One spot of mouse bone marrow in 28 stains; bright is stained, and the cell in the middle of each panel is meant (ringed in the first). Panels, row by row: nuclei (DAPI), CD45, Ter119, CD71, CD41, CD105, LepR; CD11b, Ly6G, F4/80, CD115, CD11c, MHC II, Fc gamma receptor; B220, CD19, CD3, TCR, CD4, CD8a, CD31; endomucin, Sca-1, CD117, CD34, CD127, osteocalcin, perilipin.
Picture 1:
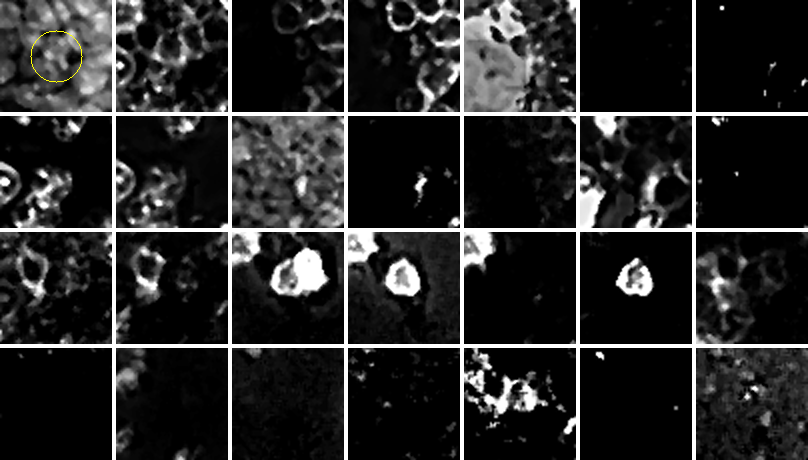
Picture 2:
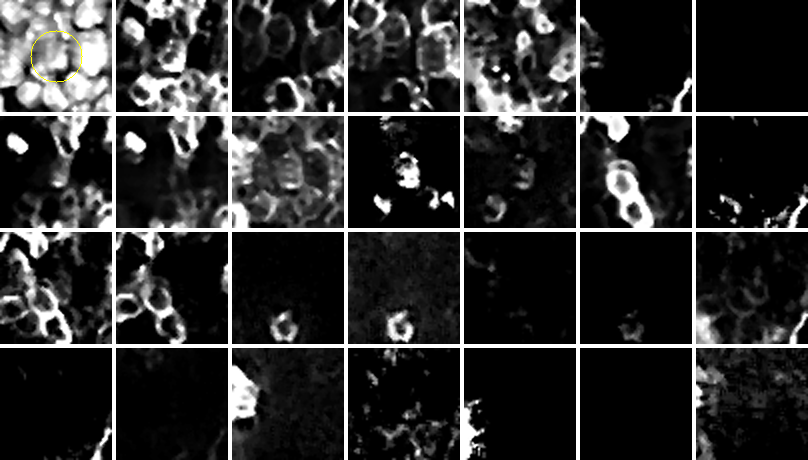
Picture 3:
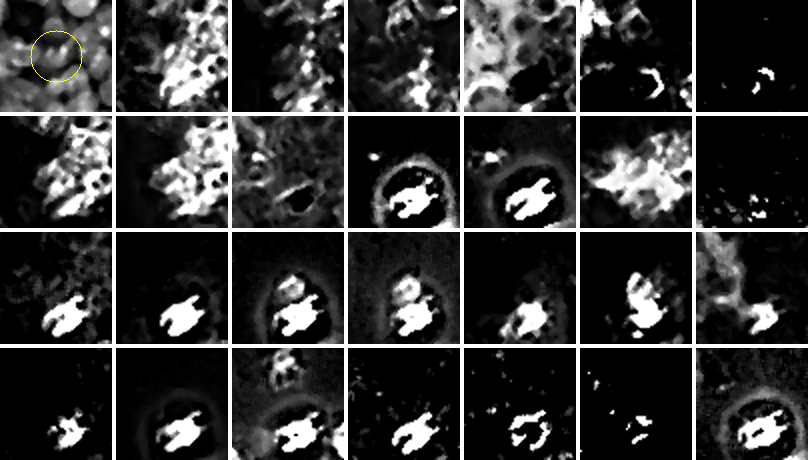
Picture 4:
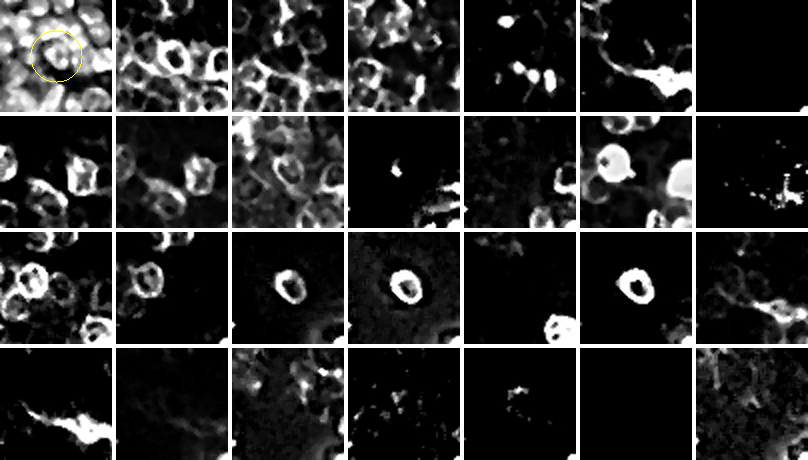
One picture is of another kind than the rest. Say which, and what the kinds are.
Picture 2 shows a monocyte; the rest show CD8 T cells.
